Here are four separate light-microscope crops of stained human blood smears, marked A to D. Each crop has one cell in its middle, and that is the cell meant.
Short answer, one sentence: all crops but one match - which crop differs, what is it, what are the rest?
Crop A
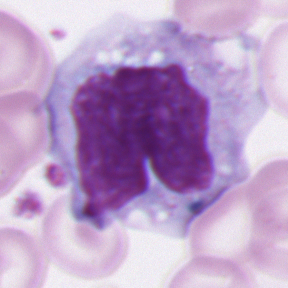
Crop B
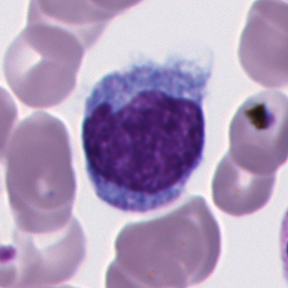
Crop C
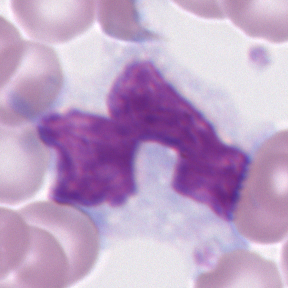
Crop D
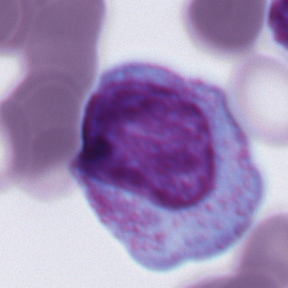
Crop D differs from its companions, showing a myelocyte where they show monocytes.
